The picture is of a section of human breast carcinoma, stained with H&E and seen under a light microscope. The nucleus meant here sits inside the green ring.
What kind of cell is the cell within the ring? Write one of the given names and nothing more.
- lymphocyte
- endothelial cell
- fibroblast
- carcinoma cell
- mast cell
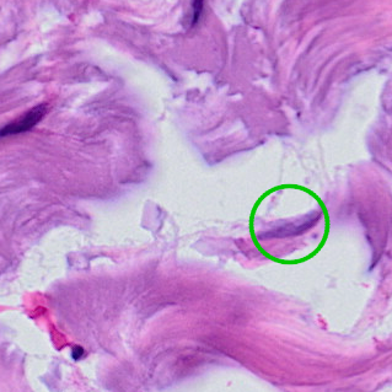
fibroblast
